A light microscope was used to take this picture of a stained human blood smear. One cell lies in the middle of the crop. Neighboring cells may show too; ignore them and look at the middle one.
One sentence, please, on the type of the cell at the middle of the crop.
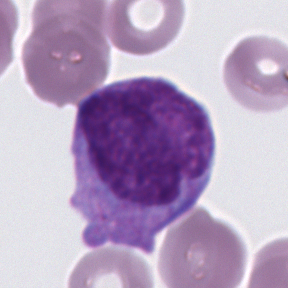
The cell under consideration, at the middle of the crop, is an atypical promyelocyte.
